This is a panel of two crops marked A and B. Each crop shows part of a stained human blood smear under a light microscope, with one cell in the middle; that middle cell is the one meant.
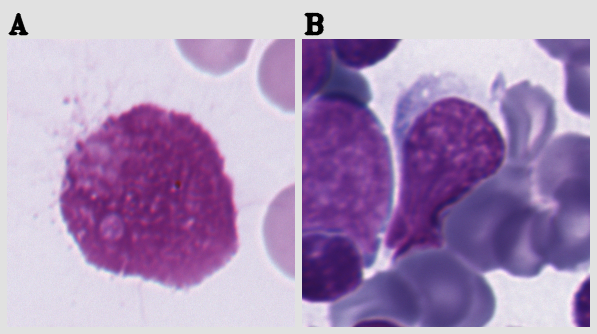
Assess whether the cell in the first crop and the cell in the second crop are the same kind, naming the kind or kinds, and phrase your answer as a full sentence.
No, crop A is of a smudge cell, and crop B is of a myeloblast.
